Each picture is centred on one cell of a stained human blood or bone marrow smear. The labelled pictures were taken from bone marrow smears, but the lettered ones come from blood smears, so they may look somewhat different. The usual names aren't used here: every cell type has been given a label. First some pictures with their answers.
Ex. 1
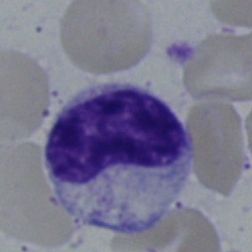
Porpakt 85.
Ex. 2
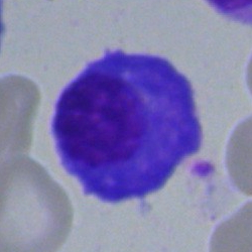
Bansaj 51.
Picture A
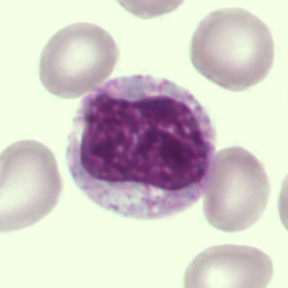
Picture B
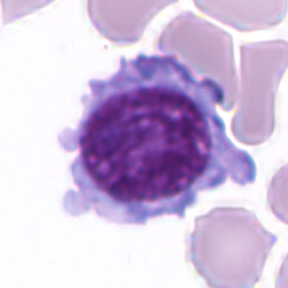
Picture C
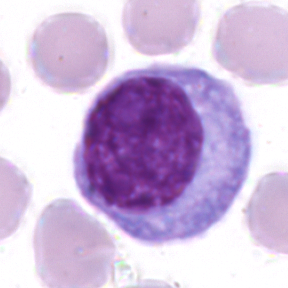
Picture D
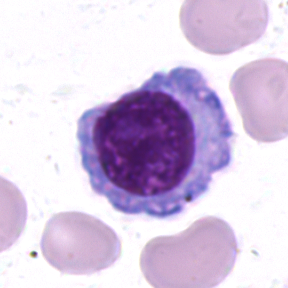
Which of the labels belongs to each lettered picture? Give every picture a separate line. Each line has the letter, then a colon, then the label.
A: Porpakt 85.
B: Bansaj 51.
C: Bansaj 51.
D: Bansaj 51.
